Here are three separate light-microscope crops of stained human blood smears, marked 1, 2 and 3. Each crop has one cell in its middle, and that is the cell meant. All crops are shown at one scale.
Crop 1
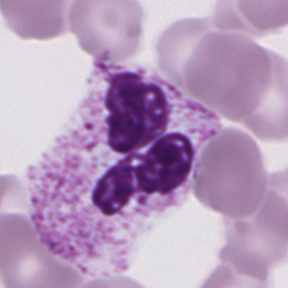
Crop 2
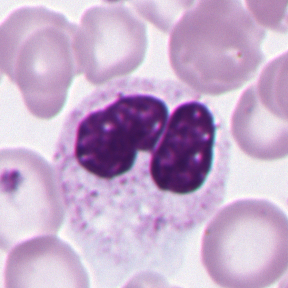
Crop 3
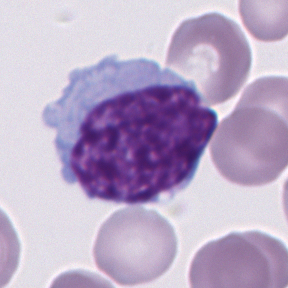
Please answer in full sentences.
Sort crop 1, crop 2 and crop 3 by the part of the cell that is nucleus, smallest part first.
From the least filled to the most, the order is 1, 2, 3.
